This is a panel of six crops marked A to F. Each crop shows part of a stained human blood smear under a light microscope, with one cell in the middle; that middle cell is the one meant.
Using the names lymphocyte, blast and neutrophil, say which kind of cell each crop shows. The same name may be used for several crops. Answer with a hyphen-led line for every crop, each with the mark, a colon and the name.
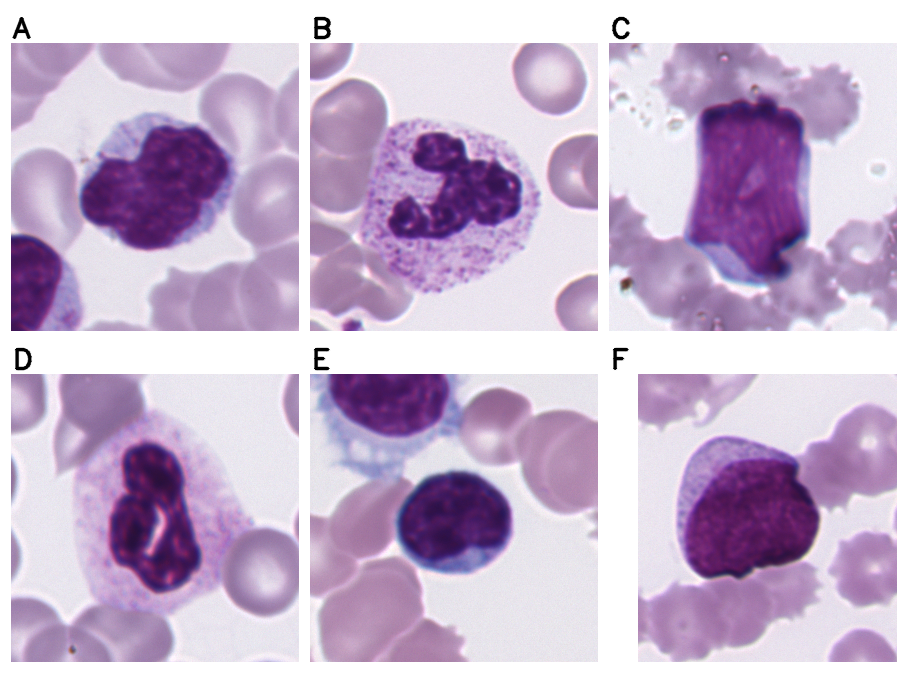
- A: lymphocyte
- B: neutrophil
- C: blast
- D: neutrophil
- E: lymphocyte
- F: blast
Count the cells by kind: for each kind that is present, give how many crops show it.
lymphocyte: 2
neutrophil: 2
blast: 2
